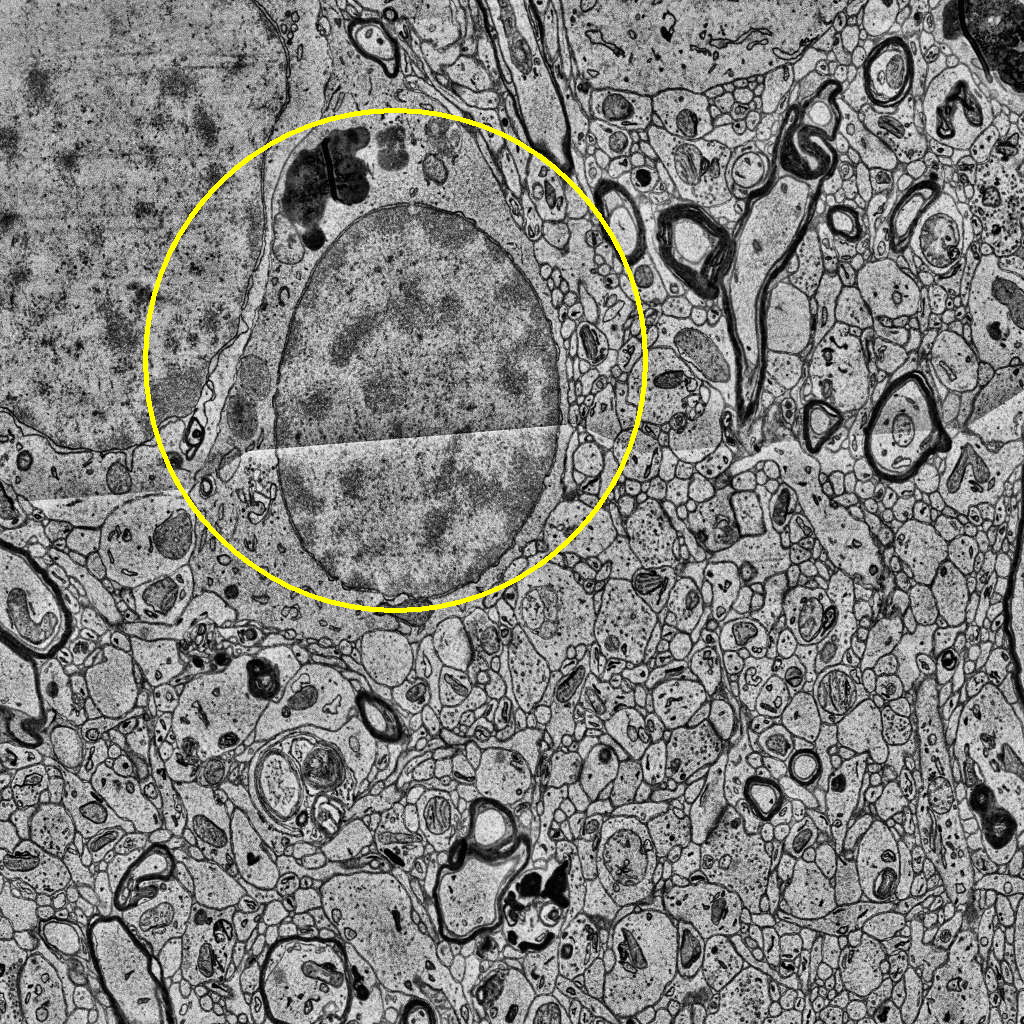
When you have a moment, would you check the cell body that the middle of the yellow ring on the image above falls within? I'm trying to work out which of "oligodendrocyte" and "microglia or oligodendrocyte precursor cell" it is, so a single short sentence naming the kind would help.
This cell body belongs to an oligodendrocyte.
